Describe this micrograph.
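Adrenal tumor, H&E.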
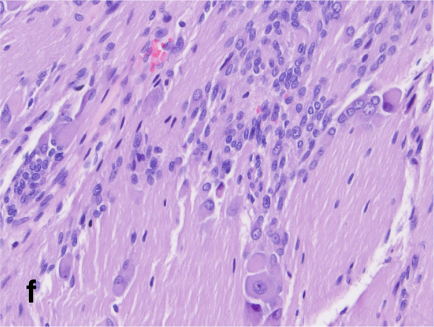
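Pink fibrillary neuropil-type stroma holds clusters and streams of small immature neuroblastic cells with scant cytoplasm and dark round nuclei. Scattered among them are a few much larger ganglion cells with abundant pink cytoplasm and round nuclei with prominent nucleoli.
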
